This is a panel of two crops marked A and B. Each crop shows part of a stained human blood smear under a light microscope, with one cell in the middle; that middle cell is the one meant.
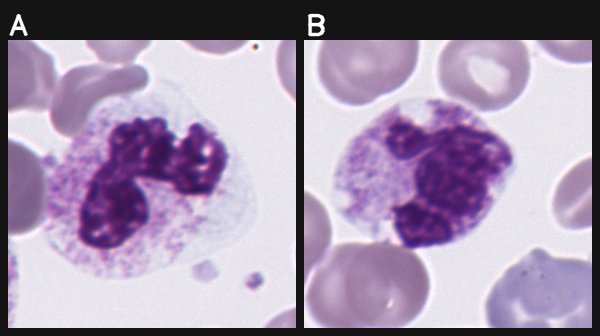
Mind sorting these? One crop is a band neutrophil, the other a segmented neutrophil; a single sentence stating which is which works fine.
The cell in crop A is a band neutrophil, whereas the cell in crop B is a segmented neutrophil.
